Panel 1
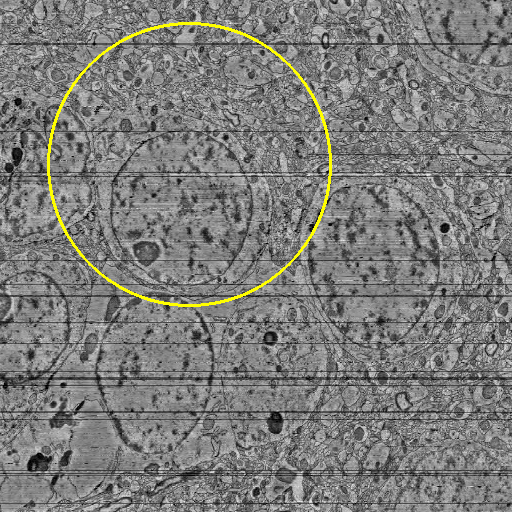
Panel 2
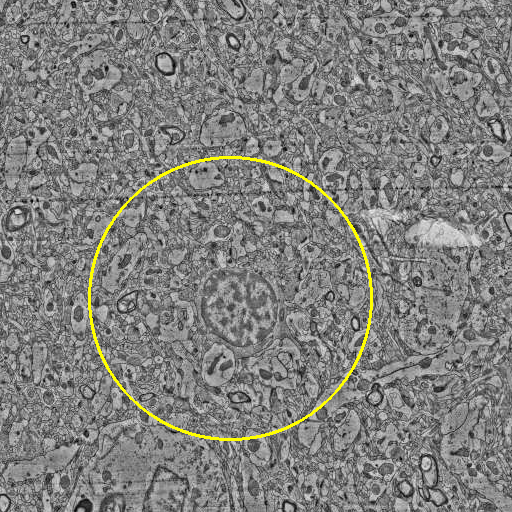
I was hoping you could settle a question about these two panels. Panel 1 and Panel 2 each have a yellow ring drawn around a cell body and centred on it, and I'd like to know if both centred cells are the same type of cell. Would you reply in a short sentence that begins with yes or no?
No, they are two types of cell.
